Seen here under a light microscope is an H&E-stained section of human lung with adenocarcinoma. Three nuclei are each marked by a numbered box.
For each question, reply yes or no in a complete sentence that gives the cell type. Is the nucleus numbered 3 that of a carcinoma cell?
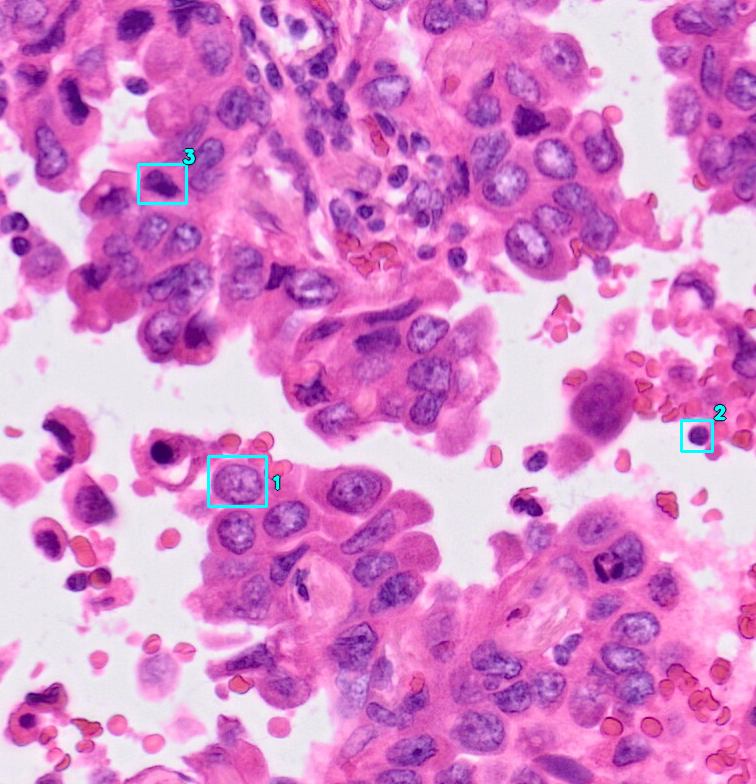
Yes, the cell at number 3 is a carcinoma cell.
